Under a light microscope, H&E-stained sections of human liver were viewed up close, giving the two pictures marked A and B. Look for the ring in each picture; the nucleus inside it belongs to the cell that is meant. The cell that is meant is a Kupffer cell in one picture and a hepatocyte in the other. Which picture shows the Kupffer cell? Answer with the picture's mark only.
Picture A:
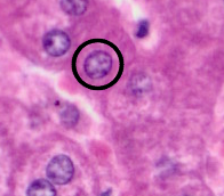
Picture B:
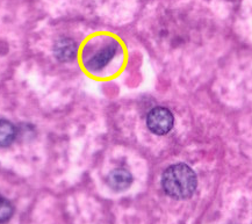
B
